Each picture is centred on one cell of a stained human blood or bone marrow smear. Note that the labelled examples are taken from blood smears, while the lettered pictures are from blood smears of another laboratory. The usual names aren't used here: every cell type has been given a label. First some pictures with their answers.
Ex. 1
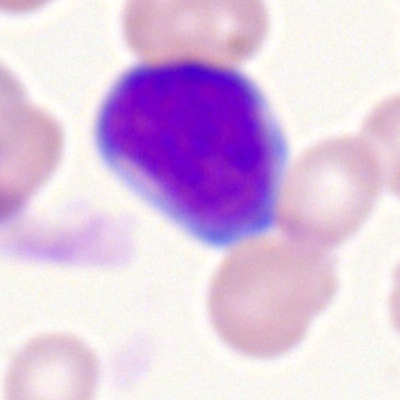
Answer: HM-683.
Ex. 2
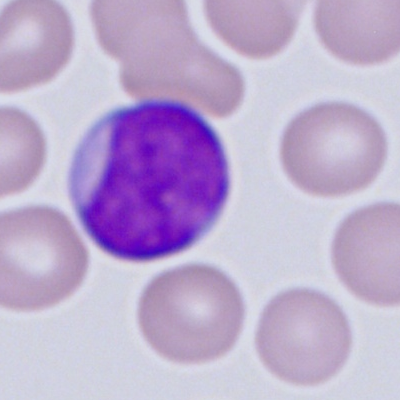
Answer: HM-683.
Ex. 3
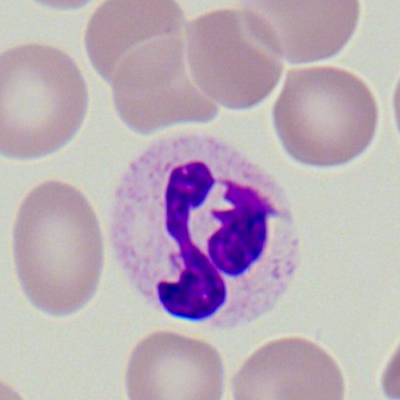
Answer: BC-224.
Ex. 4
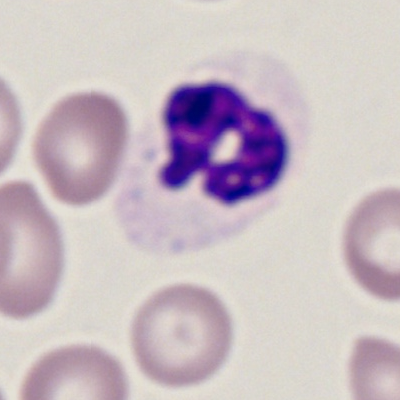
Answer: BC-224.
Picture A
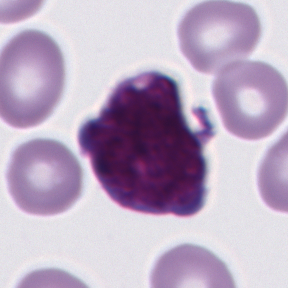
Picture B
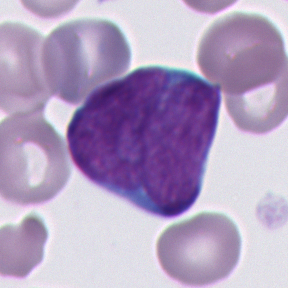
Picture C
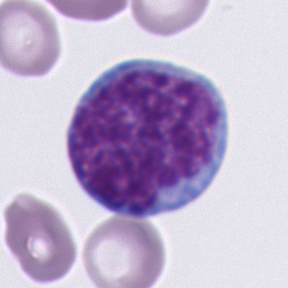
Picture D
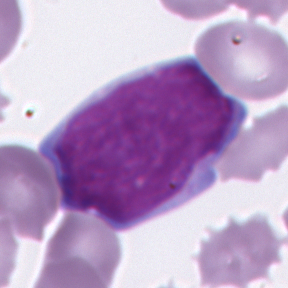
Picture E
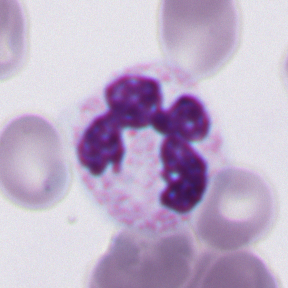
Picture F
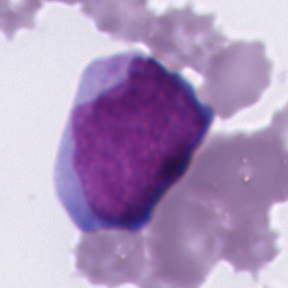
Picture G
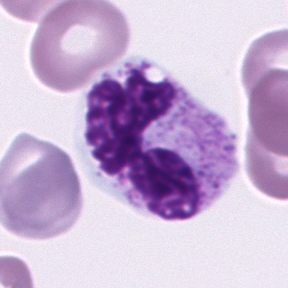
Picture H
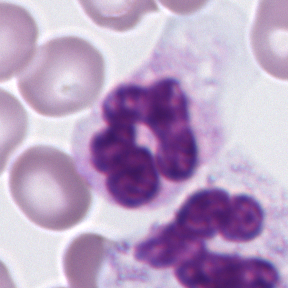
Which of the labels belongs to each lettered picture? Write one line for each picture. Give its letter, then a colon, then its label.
A: HM-683.
B: HM-683.
C: HM-683.
D: HM-683.
E: BC-224.
F: HM-683.
G: BC-224.
H: BC-224.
